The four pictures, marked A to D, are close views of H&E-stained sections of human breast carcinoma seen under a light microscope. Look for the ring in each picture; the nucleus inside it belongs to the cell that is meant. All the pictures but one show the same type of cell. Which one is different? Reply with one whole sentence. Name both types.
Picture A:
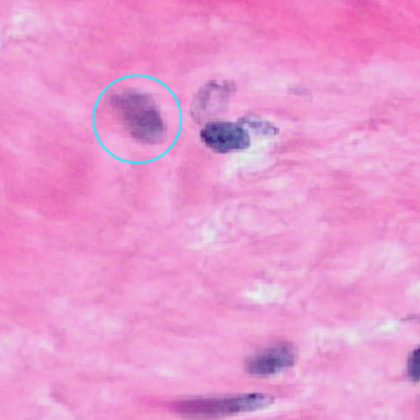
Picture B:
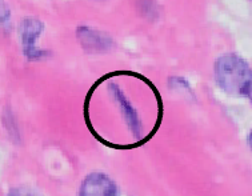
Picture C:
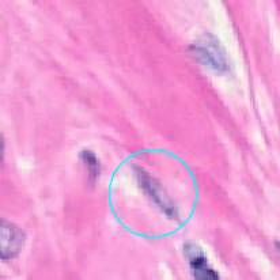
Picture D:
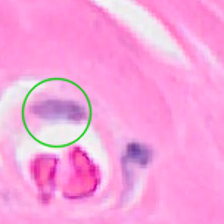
Unlike the rest, which show fibroblasts, picture D shows an endothelial cell.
